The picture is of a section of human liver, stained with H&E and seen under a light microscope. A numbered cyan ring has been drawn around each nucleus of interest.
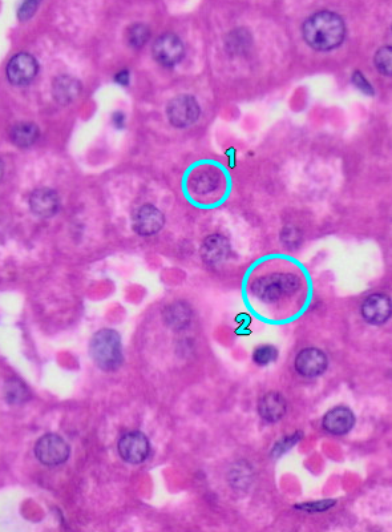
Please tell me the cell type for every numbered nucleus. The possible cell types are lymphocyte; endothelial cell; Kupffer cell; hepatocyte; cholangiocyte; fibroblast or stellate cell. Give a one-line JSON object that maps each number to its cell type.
{"1": "hepatocyte", "2": "Kupffer cell"}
